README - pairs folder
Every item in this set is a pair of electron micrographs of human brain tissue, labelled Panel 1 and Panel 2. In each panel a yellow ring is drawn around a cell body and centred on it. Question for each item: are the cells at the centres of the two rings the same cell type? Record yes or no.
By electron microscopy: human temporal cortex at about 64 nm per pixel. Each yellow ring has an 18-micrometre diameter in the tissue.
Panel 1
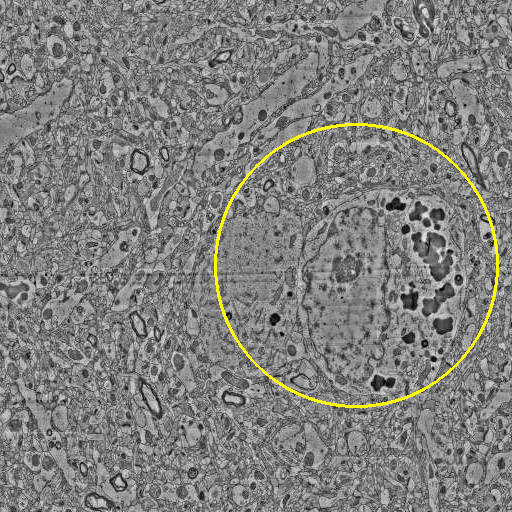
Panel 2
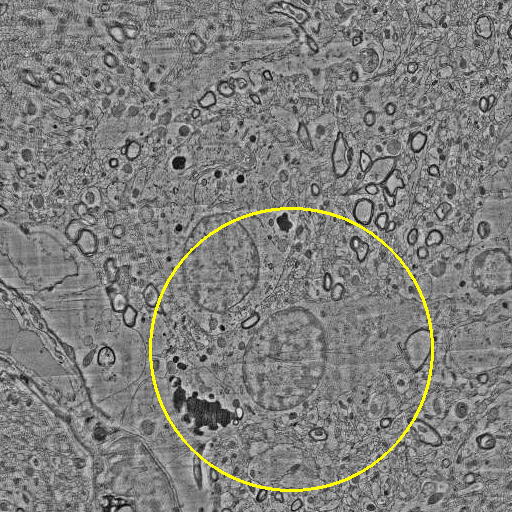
no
